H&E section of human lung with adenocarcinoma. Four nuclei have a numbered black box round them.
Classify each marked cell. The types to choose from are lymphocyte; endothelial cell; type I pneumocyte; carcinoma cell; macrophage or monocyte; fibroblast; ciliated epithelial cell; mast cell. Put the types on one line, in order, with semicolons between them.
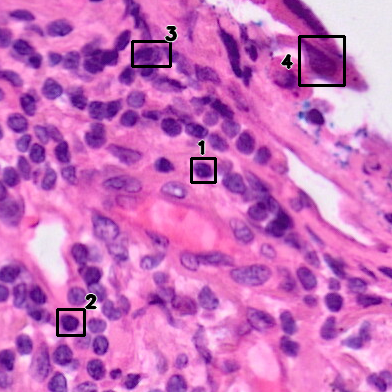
lymphocyte; lymphocyte; lymphocyte; carcinoma cell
